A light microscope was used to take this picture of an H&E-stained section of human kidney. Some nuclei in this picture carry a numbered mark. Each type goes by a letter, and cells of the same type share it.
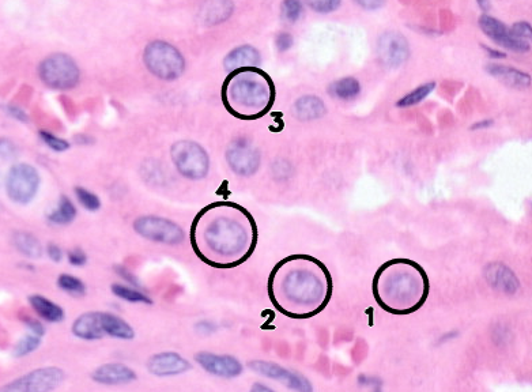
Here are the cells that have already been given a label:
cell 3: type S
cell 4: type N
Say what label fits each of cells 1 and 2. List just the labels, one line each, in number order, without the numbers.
type N
type N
